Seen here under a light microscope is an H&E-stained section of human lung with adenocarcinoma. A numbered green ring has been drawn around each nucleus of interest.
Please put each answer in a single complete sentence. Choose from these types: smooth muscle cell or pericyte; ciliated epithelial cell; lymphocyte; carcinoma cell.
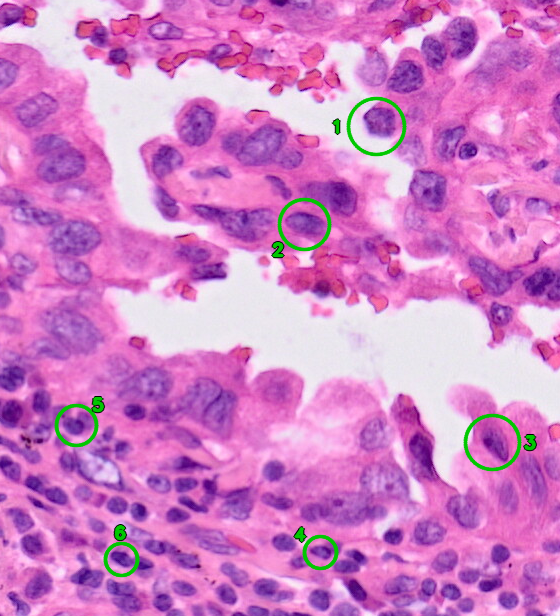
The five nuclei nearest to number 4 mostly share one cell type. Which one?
The majority of the five nuclei closest to number 4 belong to lymphocytes.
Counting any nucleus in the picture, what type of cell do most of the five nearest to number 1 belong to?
The majority of the five nuclei closest to number 1 belong to carcinoma cells.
